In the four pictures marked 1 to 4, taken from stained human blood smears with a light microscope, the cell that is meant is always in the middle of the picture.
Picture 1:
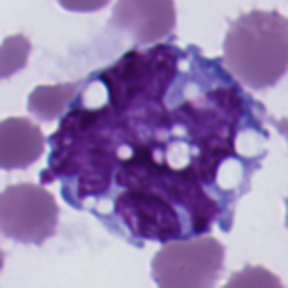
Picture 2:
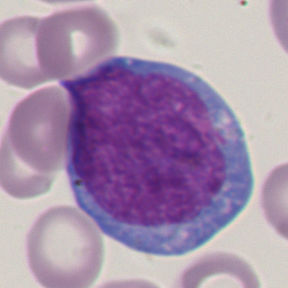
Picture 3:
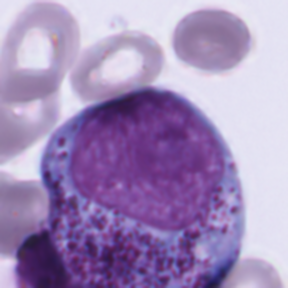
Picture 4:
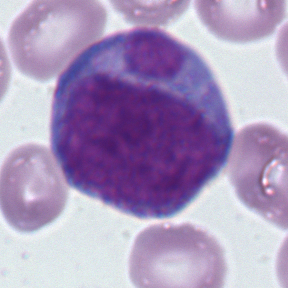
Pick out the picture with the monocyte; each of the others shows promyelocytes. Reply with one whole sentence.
Picture 1 shows the monocyte.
